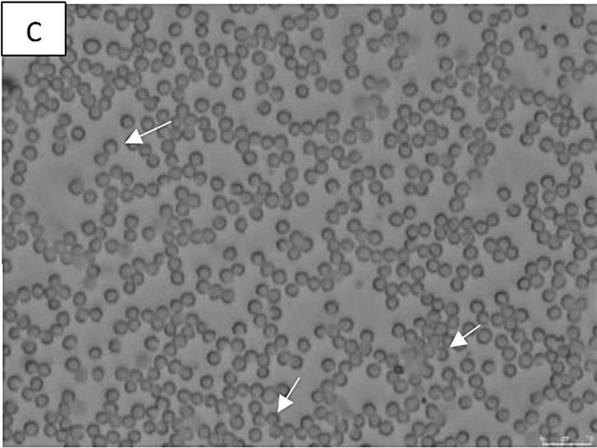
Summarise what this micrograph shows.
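This is a suspension of red blood cells, most of them small, round, anucleate discs with a dark rim and a paler centre. Among them, some cells, such as those at the arrows, are fainter and less sharply outlined than their neighbours, and the background there looks patchy and grey.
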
